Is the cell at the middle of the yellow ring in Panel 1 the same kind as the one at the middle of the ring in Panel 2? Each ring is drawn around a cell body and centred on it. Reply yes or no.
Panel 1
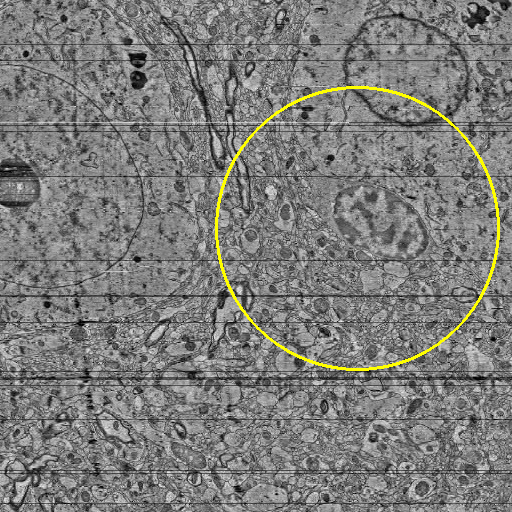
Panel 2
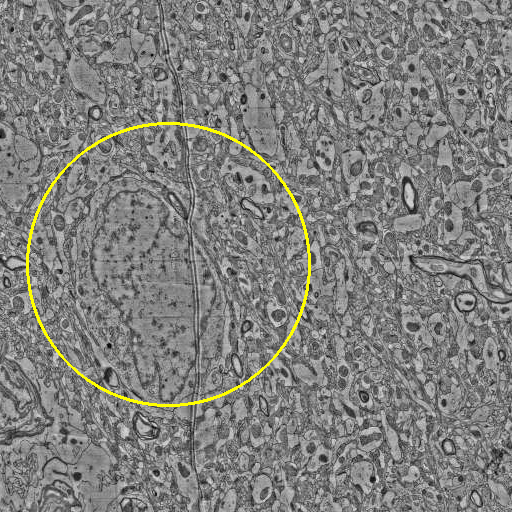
no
